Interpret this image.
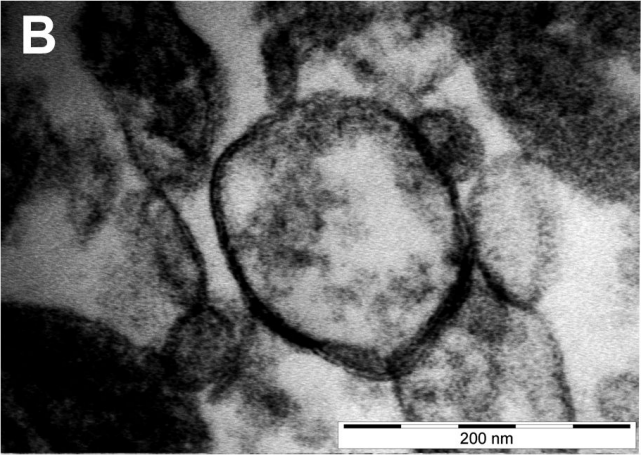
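The vesicle is round to slightly oval, roughly two hundred nanometres across, and enclosed by a continuous dark membrane whose bilayer structure is visible as a thick, layered line. Its interior is pale with loose, flocculent grey material. Further membrane-bounded profiles and dense material press against it on several sides.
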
